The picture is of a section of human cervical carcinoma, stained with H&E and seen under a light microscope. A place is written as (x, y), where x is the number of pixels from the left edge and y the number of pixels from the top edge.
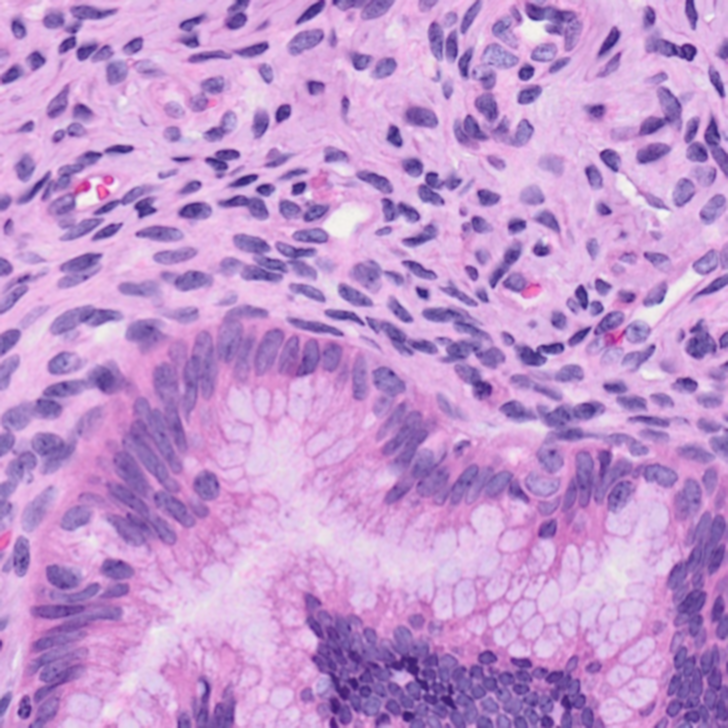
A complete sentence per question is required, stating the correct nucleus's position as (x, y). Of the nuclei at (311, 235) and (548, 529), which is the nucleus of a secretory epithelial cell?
Between the pair, the nucleus at (548, 529) belongs to a secretory epithelial cell.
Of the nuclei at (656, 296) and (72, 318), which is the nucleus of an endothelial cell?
Answering which nucleus it is: the one at (656, 296), belonging to an endothelial cell.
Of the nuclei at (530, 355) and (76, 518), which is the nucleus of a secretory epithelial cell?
Here the nucleus at (76, 518) is the one that belongs to a secretory epithelial cell.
